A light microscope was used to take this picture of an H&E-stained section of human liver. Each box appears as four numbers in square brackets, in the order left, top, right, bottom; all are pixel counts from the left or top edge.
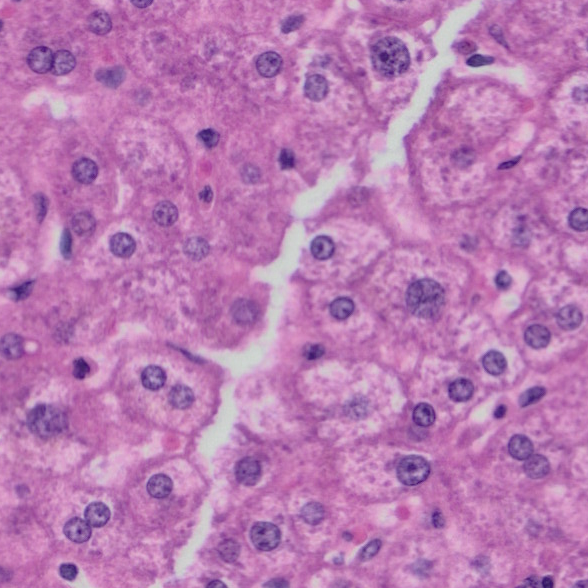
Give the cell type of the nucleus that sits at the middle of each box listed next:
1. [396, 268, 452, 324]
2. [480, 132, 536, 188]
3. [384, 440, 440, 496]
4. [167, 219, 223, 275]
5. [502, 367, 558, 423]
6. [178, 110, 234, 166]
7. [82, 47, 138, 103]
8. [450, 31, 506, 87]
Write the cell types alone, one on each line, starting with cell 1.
hepatocyte
endothelial cell
hepatocyte
hepatocyte
endothelial cell
endothelial cell
endothelial cell
lymphocyte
